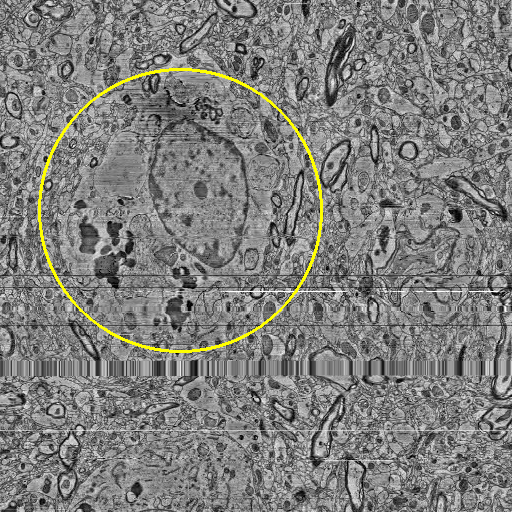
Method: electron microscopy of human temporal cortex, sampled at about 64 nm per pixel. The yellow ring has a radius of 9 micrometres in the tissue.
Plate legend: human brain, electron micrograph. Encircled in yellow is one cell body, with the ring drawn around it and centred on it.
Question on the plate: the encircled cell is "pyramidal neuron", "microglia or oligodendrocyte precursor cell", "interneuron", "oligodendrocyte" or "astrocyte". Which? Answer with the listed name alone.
astrocyte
